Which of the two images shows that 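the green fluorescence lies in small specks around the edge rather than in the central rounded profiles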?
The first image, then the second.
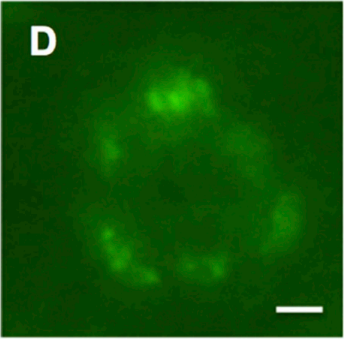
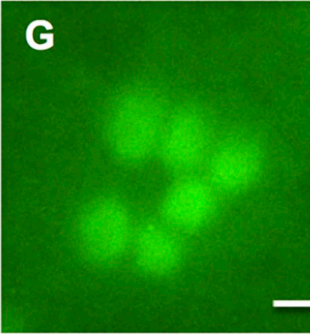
The first image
